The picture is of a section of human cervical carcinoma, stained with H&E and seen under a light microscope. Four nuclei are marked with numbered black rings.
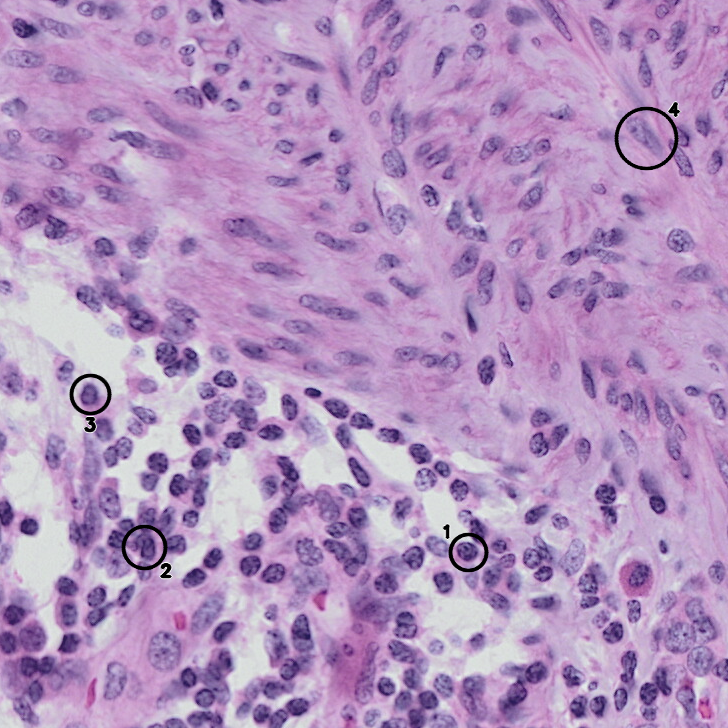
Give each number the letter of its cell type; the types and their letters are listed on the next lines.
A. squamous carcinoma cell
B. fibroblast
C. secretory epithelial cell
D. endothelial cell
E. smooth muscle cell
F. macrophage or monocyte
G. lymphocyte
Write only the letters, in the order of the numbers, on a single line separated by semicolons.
G; G; G; E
